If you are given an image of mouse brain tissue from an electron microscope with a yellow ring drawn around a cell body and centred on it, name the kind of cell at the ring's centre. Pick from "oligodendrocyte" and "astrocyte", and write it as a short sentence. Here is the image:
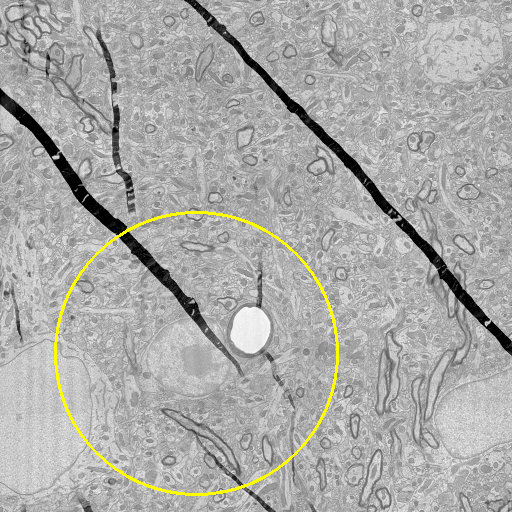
The cell at the ring's centre is an oligodendrocyte.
